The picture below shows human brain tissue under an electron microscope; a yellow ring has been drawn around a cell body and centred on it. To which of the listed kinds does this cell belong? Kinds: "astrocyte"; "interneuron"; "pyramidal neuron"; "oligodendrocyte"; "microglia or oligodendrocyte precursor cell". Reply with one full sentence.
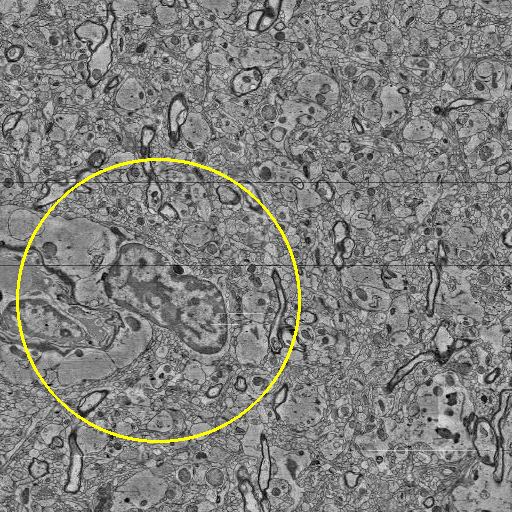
It is a microglial cell or oligodendrocyte precursor cell that the yellow ring in the picture is centred on.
